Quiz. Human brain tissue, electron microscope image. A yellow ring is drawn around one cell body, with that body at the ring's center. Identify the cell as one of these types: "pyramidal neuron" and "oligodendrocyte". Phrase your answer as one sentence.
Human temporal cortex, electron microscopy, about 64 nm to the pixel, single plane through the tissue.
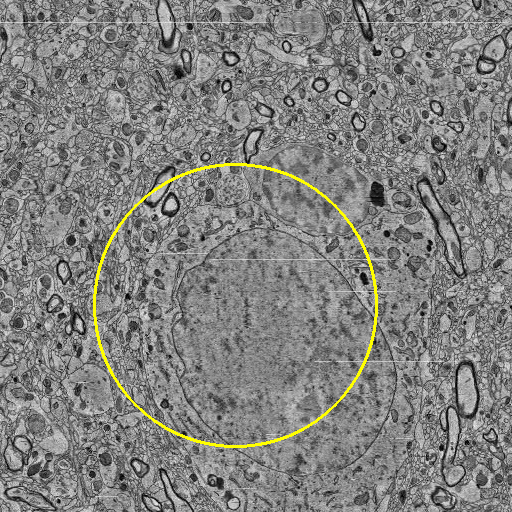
At the center of the ring sits a pyramidal neuron.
